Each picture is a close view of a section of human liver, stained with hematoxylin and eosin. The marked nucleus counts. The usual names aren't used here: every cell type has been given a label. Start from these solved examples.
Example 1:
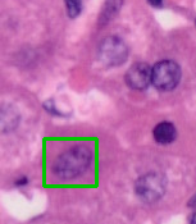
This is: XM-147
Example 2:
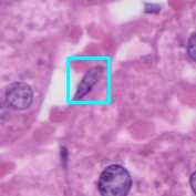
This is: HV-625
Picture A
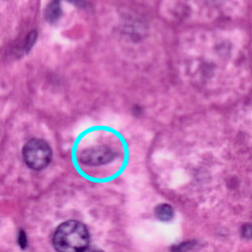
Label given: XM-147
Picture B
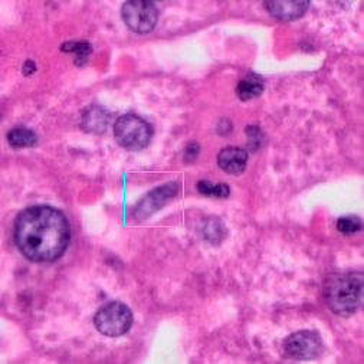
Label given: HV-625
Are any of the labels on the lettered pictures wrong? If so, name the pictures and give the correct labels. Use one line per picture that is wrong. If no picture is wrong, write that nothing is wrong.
Wrong: A (XM-147); correct: HV-625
